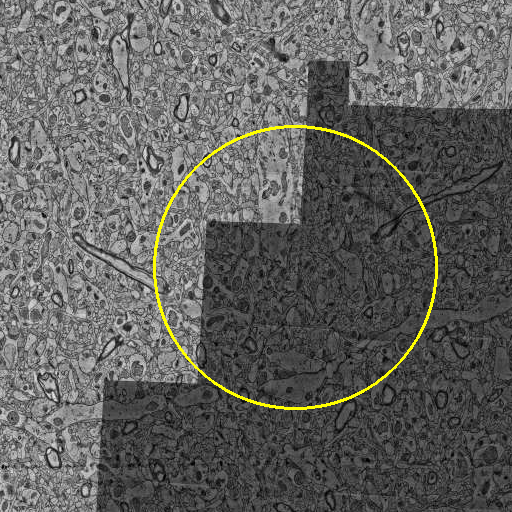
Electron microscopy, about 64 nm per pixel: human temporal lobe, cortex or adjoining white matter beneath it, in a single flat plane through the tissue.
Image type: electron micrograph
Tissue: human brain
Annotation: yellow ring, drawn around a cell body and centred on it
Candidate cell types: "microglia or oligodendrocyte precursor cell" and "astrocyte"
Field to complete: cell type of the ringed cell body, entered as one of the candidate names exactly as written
microglia or oligodendrocyte precursor cell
